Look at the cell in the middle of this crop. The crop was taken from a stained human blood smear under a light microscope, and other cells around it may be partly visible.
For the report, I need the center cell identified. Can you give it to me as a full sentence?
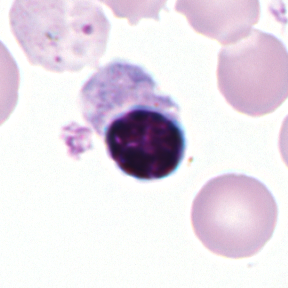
In this smear crop, the middle cell is a normoblast.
